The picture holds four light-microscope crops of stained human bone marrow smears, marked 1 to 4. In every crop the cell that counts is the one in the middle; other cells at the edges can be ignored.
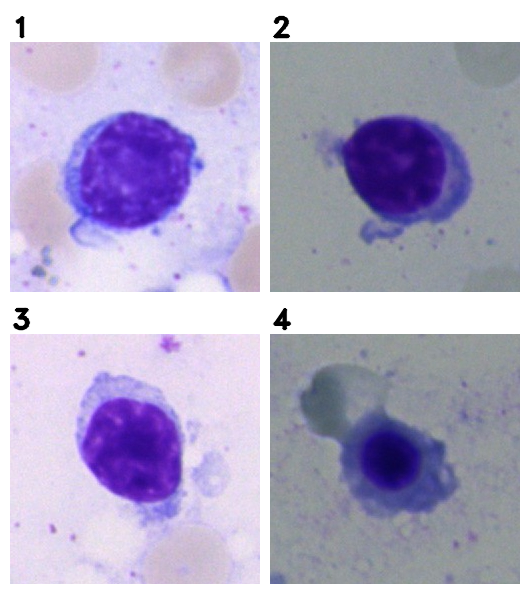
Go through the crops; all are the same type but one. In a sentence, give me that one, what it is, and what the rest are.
Apart from crop 4, which shows an erythroblast, every crop shows lymphocytes.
